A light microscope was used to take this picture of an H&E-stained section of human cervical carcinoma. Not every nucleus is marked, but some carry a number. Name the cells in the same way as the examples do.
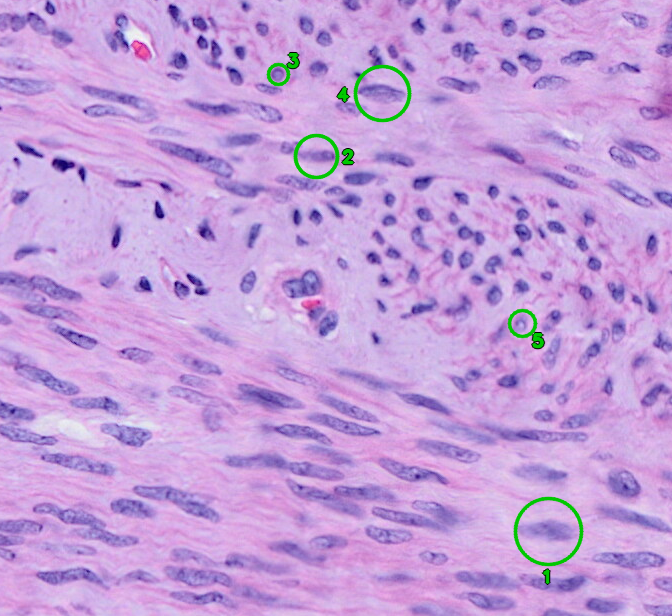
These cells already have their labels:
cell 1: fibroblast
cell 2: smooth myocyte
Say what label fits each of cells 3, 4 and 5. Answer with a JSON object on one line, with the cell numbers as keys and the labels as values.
{"3": "smooth myocyte", "4": "fibroblast", "5": "smooth myocyte"}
